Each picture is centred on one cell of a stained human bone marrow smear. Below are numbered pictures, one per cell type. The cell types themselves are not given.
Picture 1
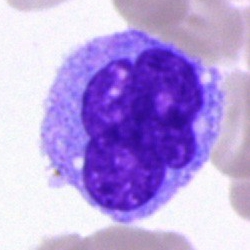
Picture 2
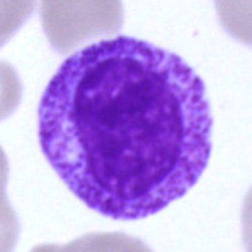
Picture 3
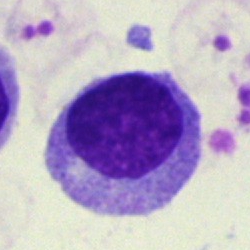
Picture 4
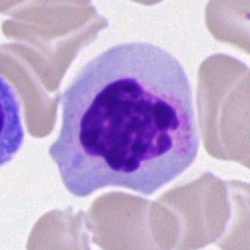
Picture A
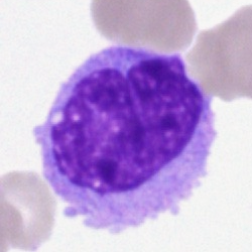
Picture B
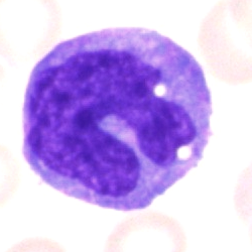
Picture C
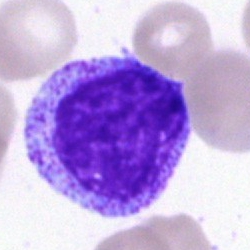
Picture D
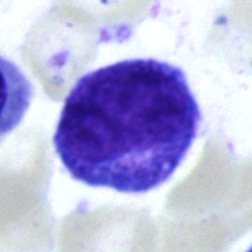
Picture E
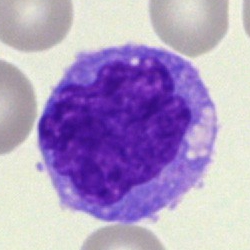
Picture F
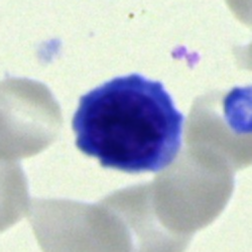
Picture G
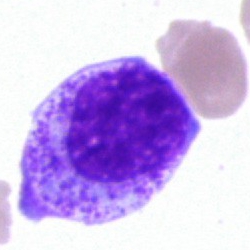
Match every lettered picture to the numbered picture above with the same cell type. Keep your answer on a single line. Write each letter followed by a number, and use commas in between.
A 1, B 1, C 3, D 2, E 1, F 4, G 3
